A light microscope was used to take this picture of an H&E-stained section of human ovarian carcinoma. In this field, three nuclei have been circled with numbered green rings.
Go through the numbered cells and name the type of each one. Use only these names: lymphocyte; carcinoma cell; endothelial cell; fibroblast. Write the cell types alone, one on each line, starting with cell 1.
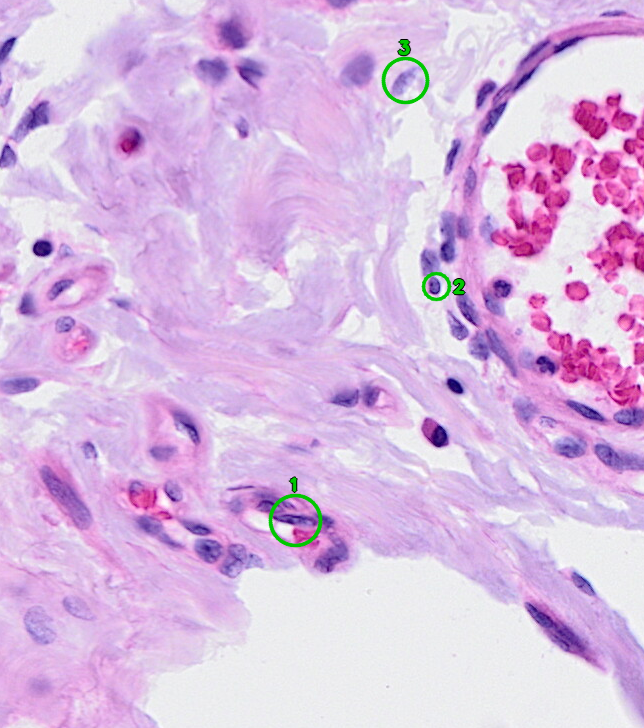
endothelial cell
lymphocyte
fibroblast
